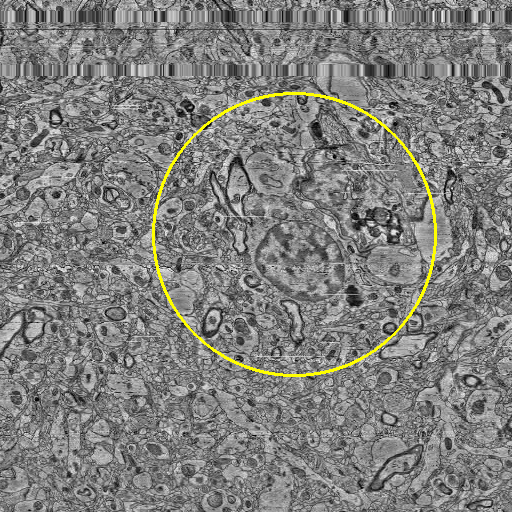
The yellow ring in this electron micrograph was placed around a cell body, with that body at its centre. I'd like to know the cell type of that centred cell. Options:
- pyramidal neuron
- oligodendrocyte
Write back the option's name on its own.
oligodendrocyte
